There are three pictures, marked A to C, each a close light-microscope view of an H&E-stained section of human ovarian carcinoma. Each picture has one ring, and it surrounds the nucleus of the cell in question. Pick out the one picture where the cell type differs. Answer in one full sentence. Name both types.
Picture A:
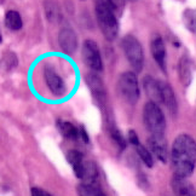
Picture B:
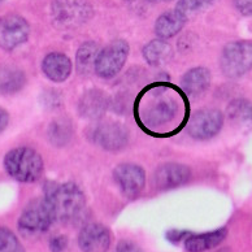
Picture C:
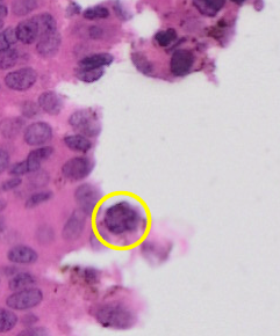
The others show carcinoma cells, but picture A shows a “macrophage or monocyte”.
